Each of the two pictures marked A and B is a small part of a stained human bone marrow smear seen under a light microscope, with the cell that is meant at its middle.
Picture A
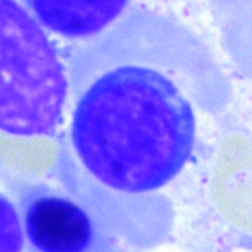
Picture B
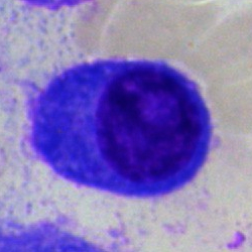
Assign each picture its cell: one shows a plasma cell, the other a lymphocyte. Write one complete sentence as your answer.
The cell in picture A is a lymphocyte, and the one in picture B is a plasma cell.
